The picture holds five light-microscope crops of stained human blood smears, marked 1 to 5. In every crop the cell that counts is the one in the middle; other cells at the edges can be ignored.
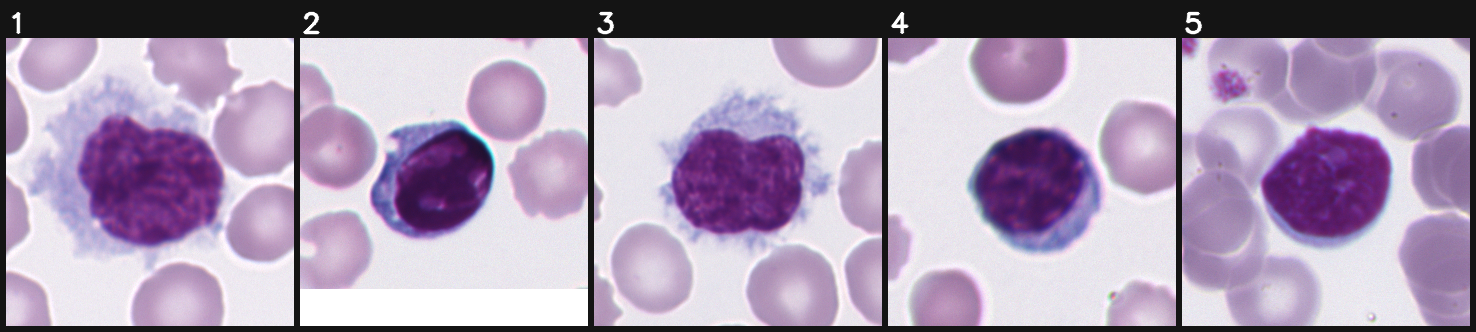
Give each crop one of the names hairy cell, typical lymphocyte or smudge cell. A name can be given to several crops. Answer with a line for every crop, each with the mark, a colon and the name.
1: hairy cell
2: typical lymphocyte
3: hairy cell
4: typical lymphocyte
5: typical lymphocyte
